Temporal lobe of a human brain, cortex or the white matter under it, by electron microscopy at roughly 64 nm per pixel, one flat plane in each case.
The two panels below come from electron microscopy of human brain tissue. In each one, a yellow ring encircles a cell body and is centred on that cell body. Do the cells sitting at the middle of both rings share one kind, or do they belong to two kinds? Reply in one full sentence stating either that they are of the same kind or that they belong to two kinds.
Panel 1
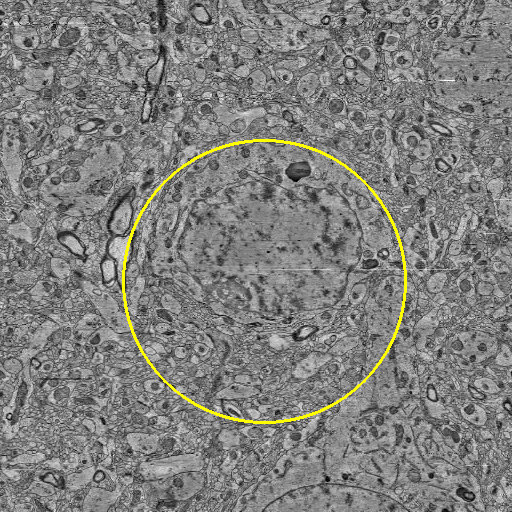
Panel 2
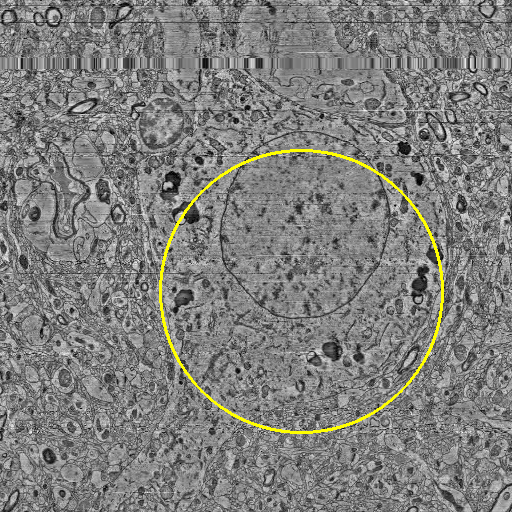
The cells at the centres of the two rings belong to two kinds.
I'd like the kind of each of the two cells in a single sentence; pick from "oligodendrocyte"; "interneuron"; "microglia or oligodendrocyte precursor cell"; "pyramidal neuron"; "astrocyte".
The first ring marks an interneuron, and the second ring marks a pyramidal neuron.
